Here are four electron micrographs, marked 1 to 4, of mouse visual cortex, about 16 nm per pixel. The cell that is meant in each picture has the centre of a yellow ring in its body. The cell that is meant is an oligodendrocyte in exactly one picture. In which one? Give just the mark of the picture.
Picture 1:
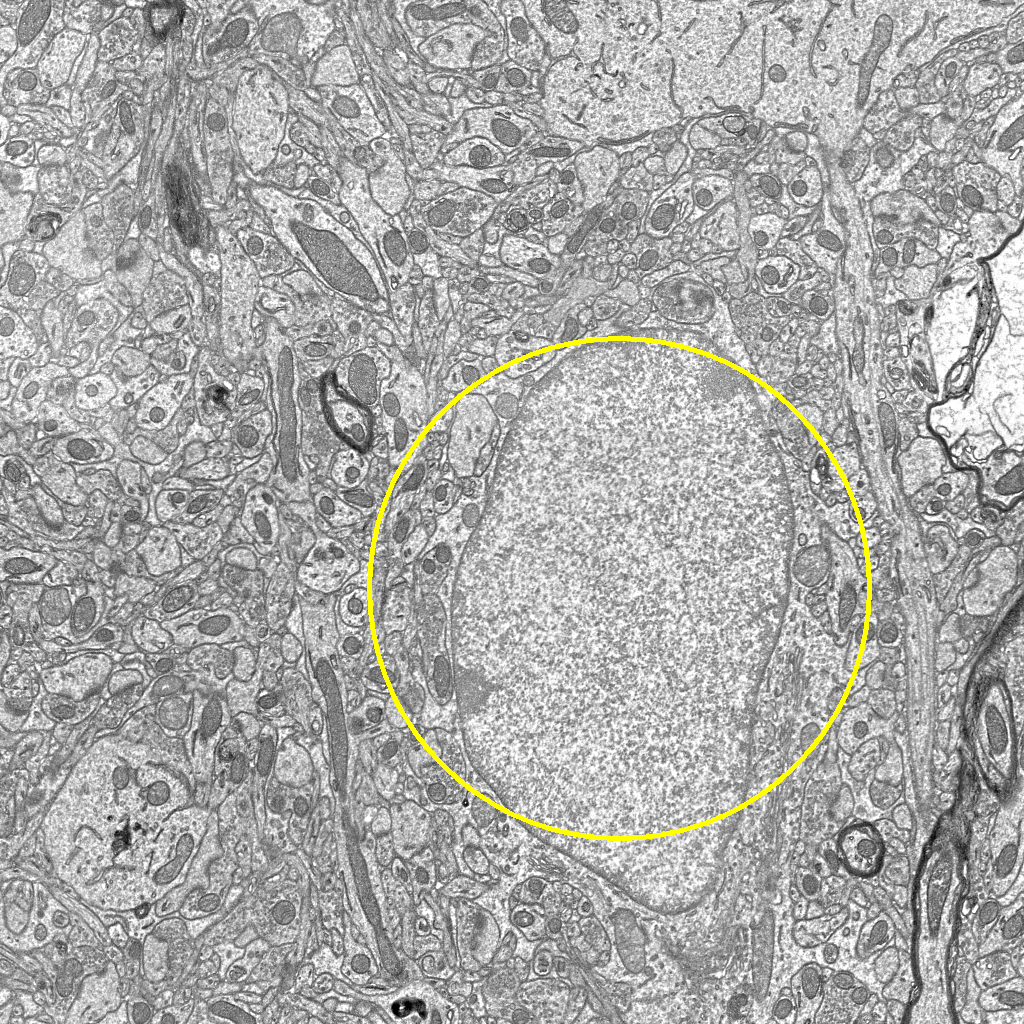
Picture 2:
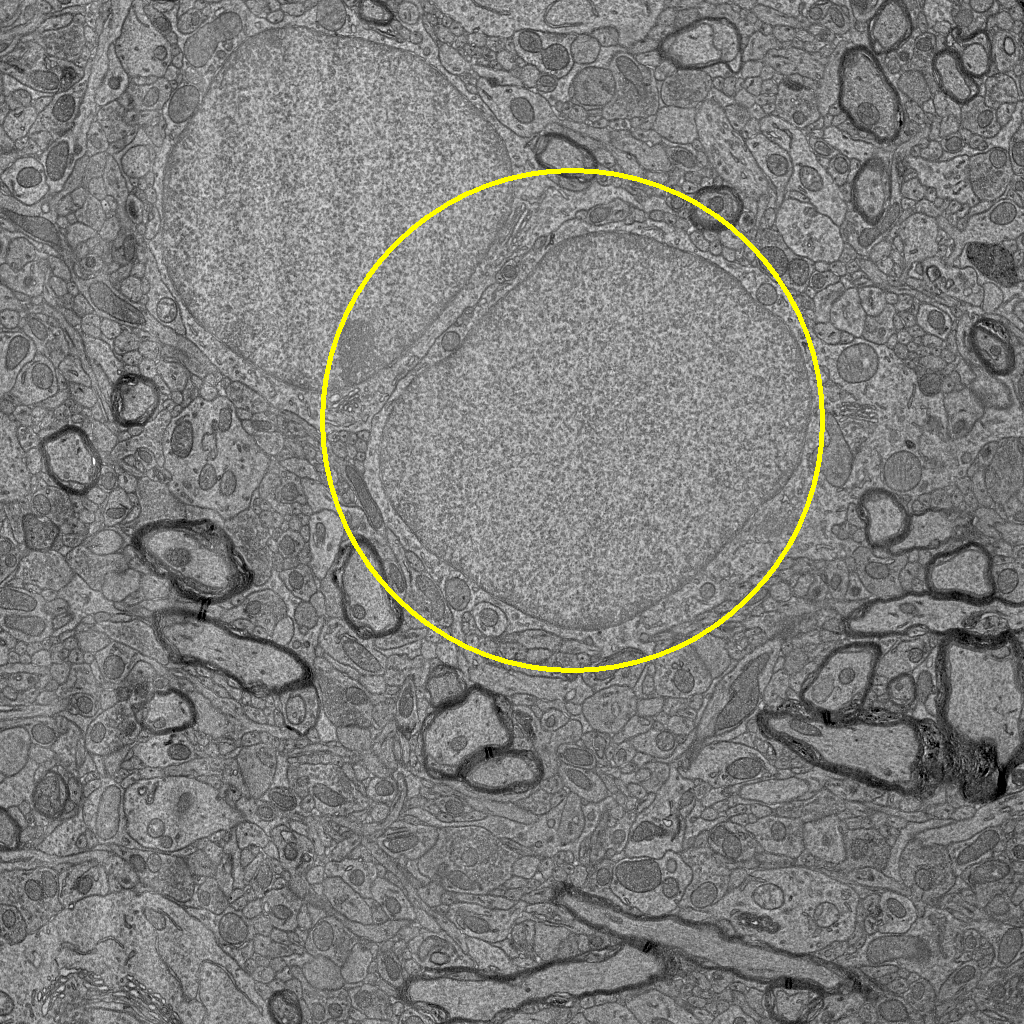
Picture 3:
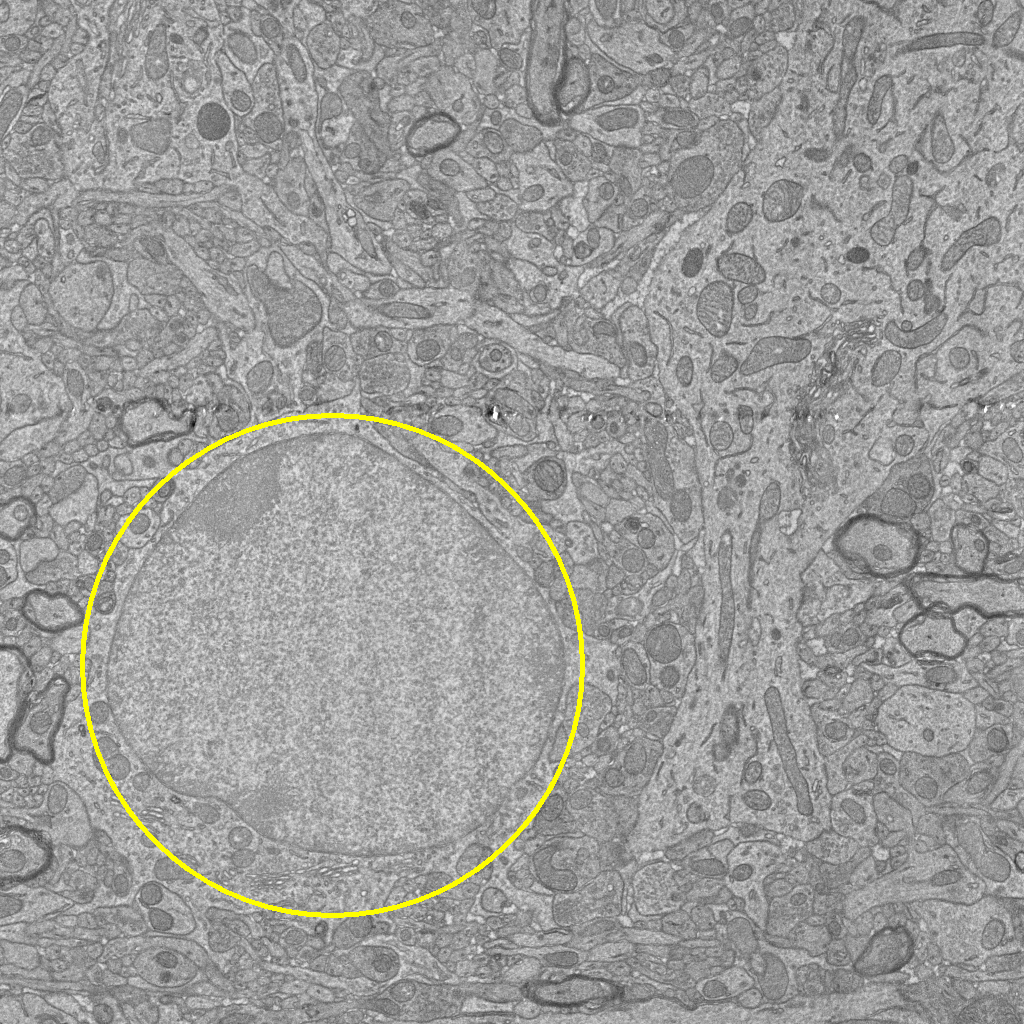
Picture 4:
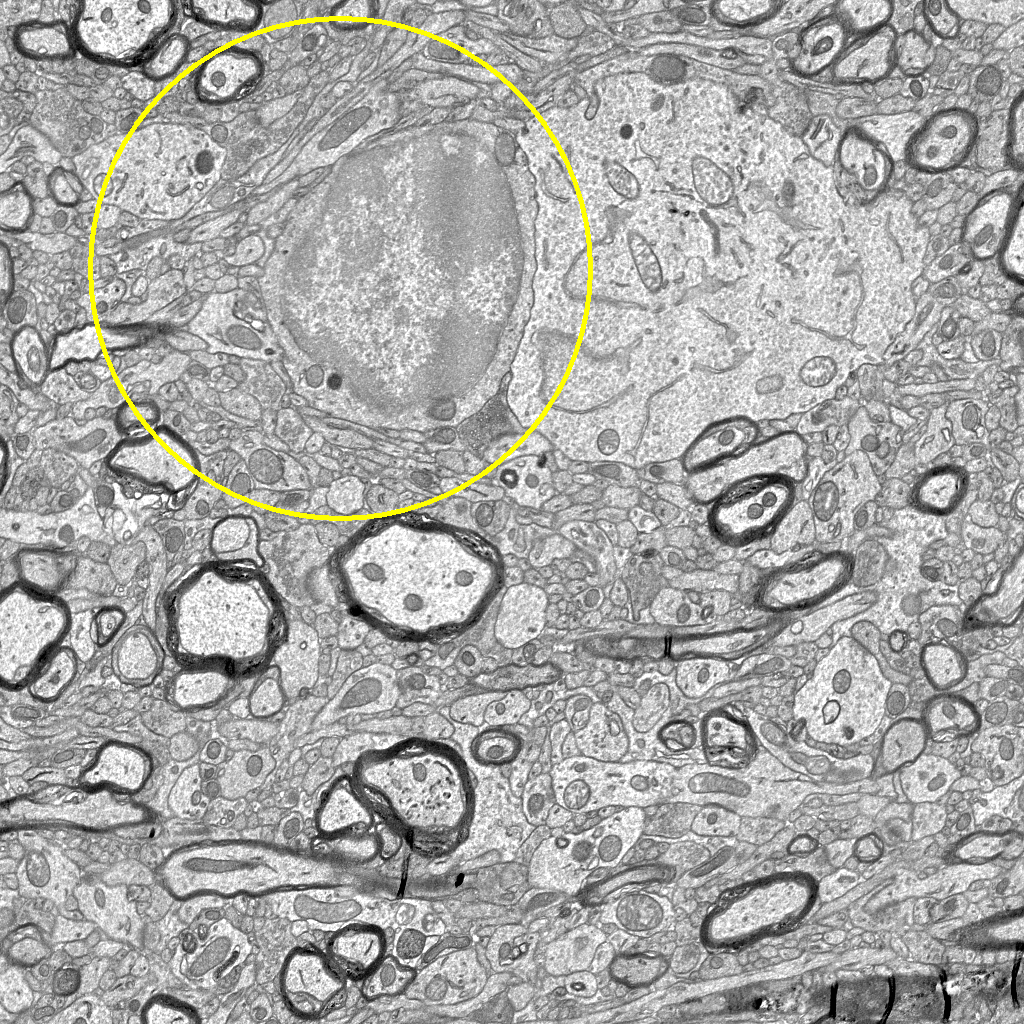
4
